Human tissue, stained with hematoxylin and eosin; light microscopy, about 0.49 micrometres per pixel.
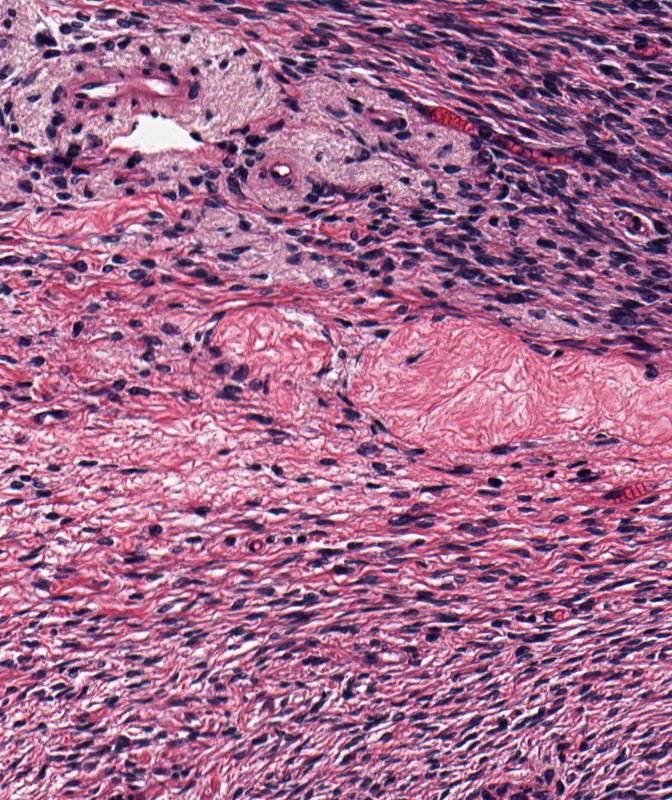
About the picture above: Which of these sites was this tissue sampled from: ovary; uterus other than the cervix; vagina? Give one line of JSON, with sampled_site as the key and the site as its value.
{"sampled_site": "ovary"}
